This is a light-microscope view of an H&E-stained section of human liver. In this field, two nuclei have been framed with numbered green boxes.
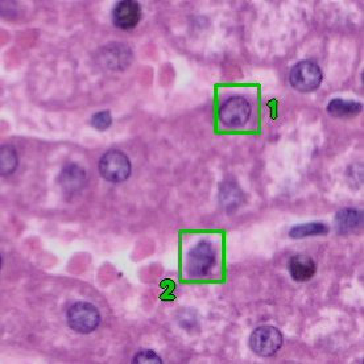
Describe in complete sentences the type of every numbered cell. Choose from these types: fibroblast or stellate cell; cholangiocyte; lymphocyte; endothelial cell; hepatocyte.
Cell 1 is a hepatocyte and cell 2 is an endothelial cell.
